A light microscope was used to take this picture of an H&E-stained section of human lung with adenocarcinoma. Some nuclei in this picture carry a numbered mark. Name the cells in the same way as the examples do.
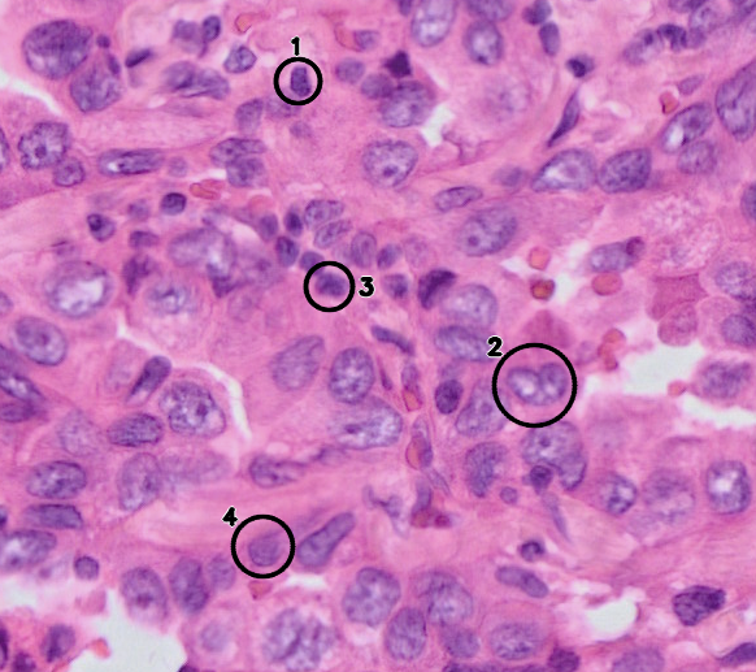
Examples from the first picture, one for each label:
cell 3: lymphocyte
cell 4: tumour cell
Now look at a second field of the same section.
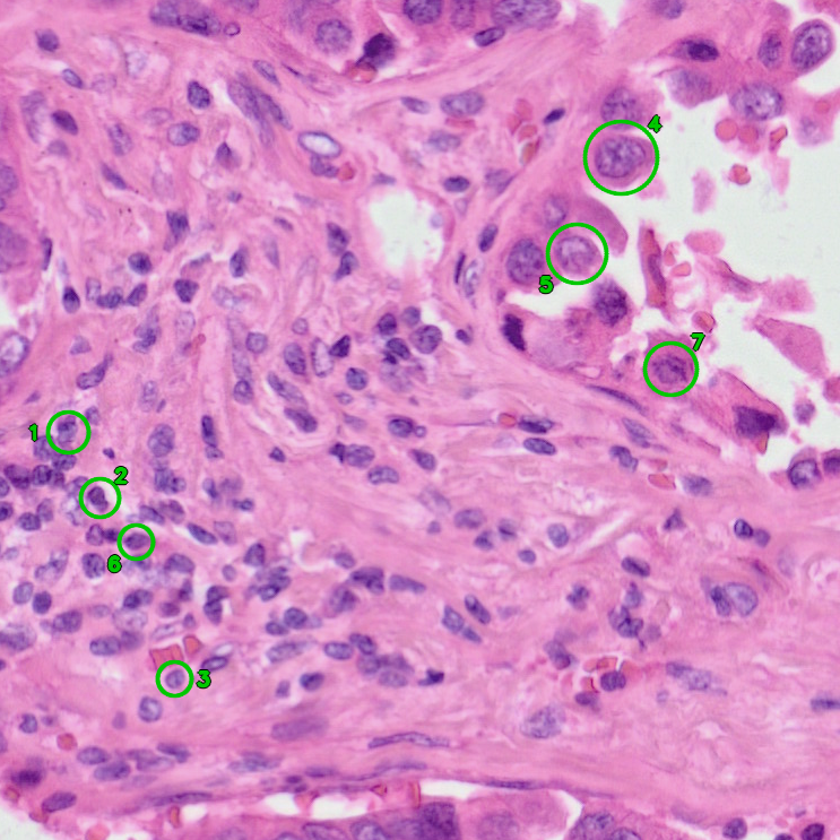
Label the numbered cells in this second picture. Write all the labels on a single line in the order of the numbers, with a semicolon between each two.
lymphocyte; lymphocyte; lymphocyte; tumour cell; tumour cell; lymphocyte; tumour cell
